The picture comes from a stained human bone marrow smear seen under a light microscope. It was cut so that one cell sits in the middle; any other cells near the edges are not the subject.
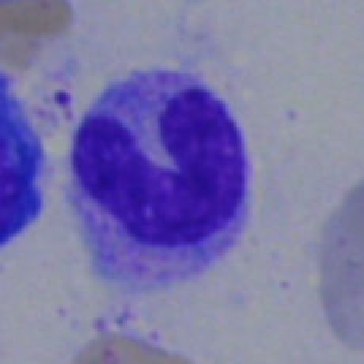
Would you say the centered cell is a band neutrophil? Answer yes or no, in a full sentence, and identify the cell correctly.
Yes, the cell here in the middle is a band neutrophil.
